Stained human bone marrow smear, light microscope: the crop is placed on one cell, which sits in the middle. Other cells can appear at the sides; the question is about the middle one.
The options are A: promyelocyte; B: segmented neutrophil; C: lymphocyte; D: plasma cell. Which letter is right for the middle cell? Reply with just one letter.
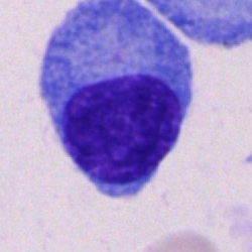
D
